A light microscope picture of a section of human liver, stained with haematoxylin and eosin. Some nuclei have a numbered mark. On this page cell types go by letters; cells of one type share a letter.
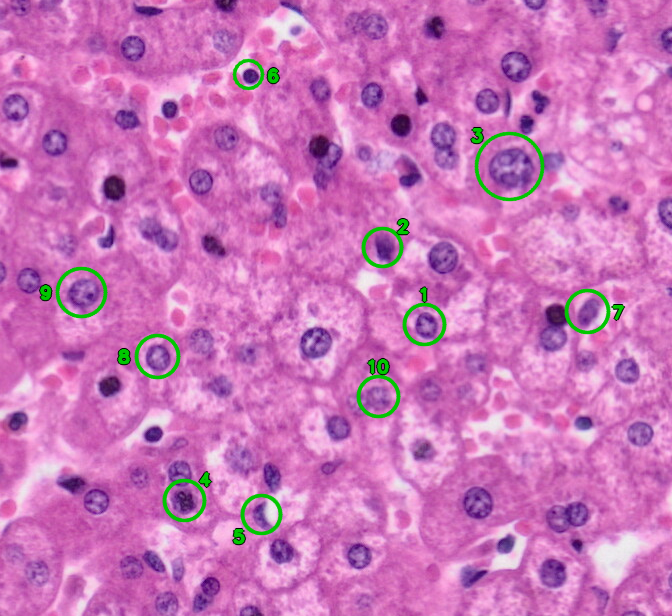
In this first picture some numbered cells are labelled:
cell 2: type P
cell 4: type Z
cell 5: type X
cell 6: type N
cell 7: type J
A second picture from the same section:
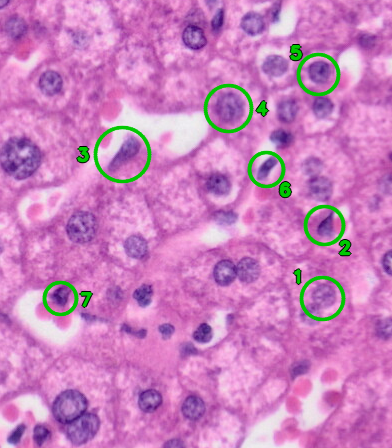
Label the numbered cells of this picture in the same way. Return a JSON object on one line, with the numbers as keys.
{"1": "type Z", "2": "type X", "3": "type J", "4": "type Z", "5": "type Z", "6": "type N", "7": "type J"}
